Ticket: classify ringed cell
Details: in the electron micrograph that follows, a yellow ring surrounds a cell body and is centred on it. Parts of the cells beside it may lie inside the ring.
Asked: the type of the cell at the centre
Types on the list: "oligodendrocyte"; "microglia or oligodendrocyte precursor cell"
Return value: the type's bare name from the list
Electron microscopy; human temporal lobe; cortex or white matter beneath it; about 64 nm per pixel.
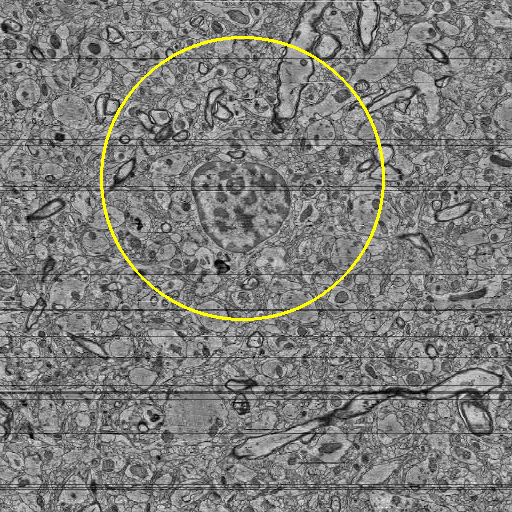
microglia or oligodendrocyte precursor cell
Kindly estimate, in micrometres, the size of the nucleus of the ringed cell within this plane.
The nucleus is approximately 6 micrometers across in this plane.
